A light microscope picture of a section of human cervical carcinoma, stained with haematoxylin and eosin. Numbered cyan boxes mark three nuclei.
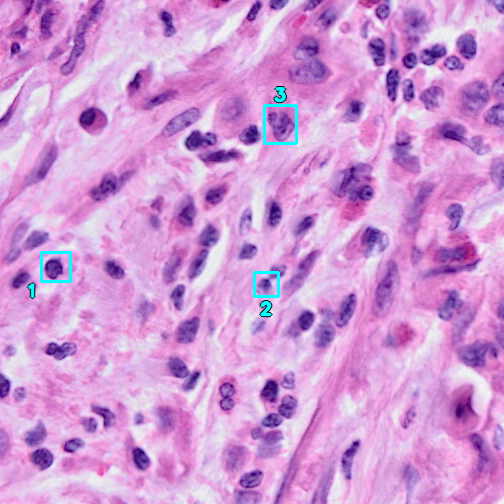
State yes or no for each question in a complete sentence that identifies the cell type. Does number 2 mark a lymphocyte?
Yes, the numbered nucleus 2 is that of a lymphocyte.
